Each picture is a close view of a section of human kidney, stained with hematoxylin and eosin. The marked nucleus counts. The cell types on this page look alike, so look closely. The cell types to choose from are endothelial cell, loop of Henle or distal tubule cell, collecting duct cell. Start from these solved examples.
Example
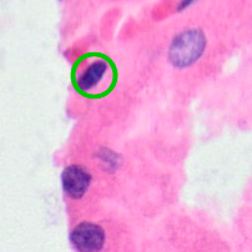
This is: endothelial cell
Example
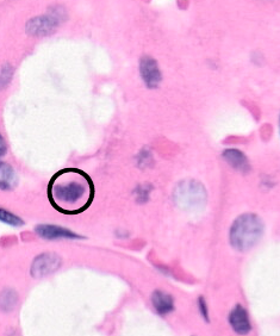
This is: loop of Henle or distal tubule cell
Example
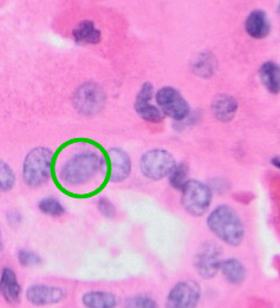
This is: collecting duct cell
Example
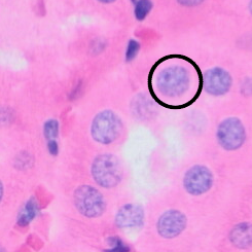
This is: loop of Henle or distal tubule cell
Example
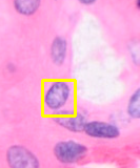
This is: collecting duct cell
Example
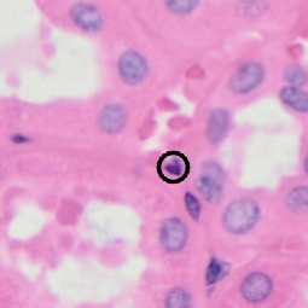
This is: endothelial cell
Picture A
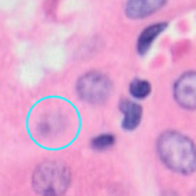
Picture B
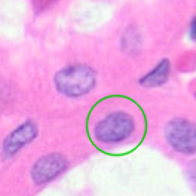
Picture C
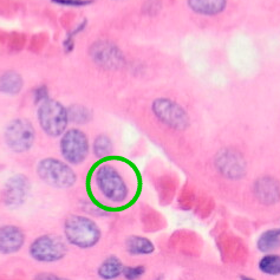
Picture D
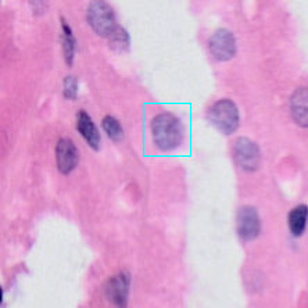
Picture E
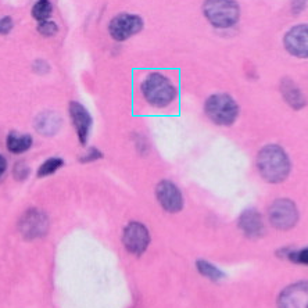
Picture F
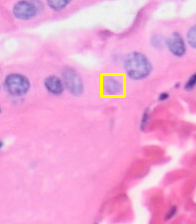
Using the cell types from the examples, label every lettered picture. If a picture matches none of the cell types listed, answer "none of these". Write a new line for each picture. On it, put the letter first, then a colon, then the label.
A: none of these
B: loop of Henle or distal tubule cell
C: collecting duct cell
D: loop of Henle or distal tubule cell
E: loop of Henle or distal tubule cell
F: collecting duct cell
